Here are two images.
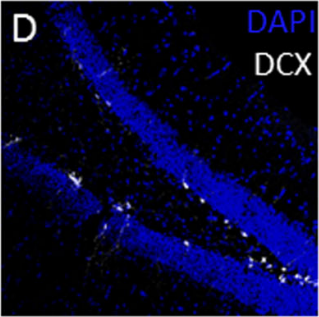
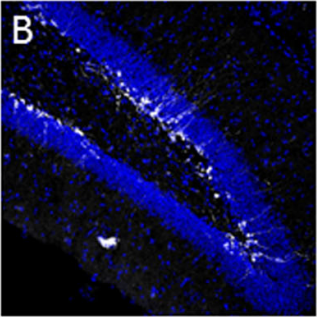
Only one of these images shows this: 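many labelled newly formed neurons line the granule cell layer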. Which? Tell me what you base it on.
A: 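First image: only scattered small white cells along the granule cell layer. Second image: a dense row of white cells with processes along the granule cell layer.
The second image.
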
